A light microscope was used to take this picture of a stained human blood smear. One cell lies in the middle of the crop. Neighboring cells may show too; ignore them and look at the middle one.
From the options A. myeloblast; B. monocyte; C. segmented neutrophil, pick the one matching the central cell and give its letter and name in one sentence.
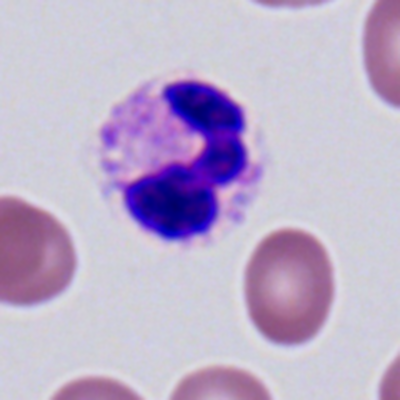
What option C states is correct, the central cell being a segmented neutrophil.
